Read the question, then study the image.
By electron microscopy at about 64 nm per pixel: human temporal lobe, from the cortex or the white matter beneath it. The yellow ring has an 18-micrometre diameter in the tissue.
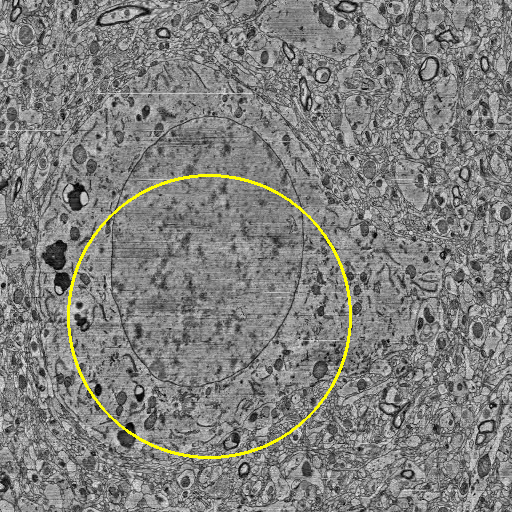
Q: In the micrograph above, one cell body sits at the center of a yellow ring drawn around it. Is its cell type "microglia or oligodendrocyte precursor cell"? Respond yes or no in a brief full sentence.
No, its cell type is another one.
